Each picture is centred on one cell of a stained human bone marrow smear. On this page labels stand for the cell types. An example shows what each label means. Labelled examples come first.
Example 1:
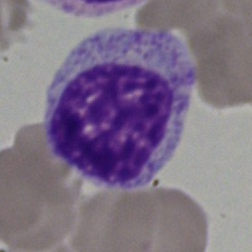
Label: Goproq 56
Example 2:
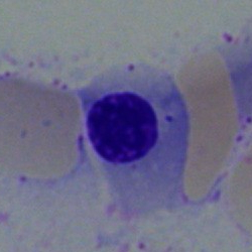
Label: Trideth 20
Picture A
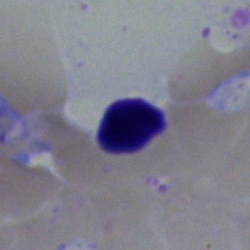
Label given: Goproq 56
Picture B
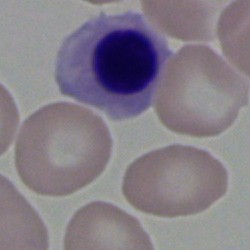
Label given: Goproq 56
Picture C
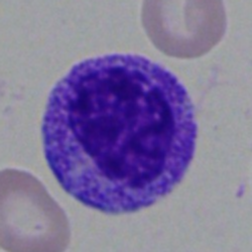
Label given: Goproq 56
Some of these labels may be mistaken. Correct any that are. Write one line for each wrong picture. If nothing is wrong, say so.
A should be Trideth 20, not Goproq 56
B should be Trideth 20, not Goproq 56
